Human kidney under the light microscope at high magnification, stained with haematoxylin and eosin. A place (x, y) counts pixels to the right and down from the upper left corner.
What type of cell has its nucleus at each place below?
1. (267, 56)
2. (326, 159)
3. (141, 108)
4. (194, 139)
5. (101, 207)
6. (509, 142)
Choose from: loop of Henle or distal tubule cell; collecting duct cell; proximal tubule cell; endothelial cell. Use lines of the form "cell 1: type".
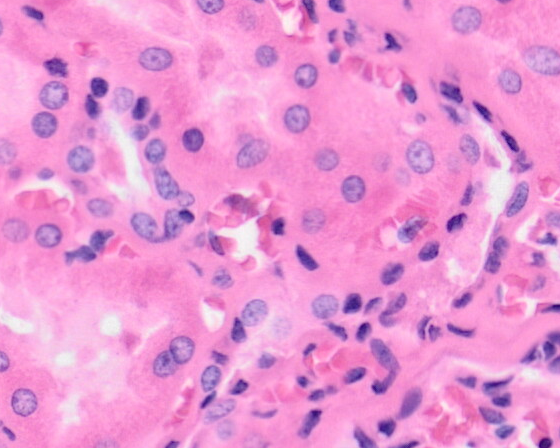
cell 1: proximal tubule cell
cell 2: proximal tubule cell
cell 3: collecting duct cell
cell 4: proximal tubule cell
cell 5: collecting duct cell
cell 6: collecting duct cell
